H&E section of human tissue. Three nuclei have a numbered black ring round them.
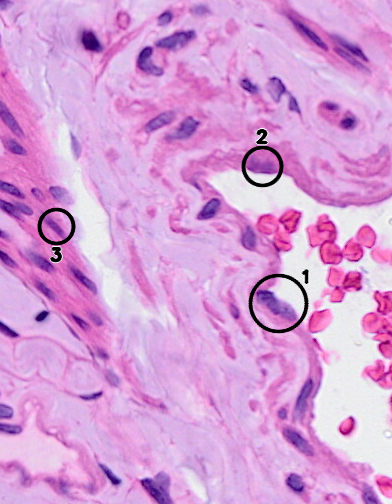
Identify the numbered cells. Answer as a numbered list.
1. endothelial cell
2. endothelial cell
3. smooth muscle cell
